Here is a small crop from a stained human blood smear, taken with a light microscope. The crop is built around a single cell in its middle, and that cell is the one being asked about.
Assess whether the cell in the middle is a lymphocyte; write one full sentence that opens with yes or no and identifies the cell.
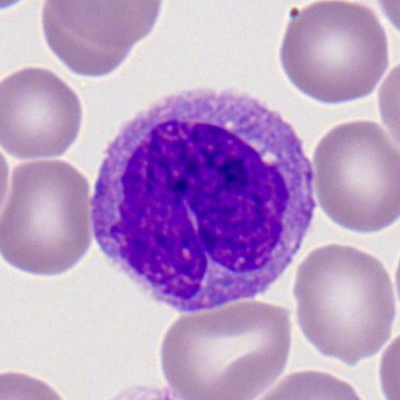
No, wrong label: the middle cell is a monocyte instead of a lymphocyte.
